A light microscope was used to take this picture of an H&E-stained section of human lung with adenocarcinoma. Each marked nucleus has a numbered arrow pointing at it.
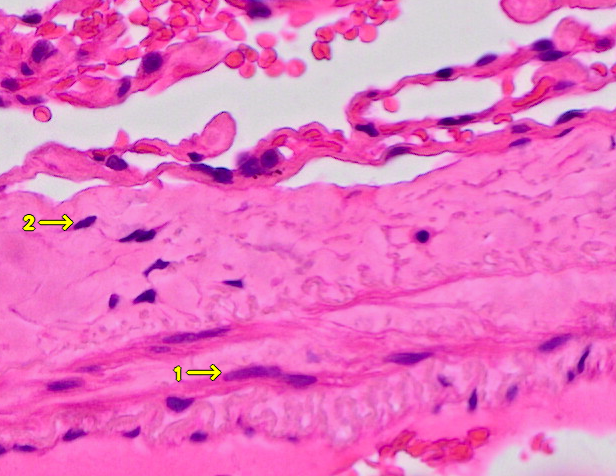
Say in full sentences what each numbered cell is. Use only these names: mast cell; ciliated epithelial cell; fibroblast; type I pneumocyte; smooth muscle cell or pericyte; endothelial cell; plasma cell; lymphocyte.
Cell 1 is a smooth muscle cell or pericyte. Cell 2 is a fibroblast.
